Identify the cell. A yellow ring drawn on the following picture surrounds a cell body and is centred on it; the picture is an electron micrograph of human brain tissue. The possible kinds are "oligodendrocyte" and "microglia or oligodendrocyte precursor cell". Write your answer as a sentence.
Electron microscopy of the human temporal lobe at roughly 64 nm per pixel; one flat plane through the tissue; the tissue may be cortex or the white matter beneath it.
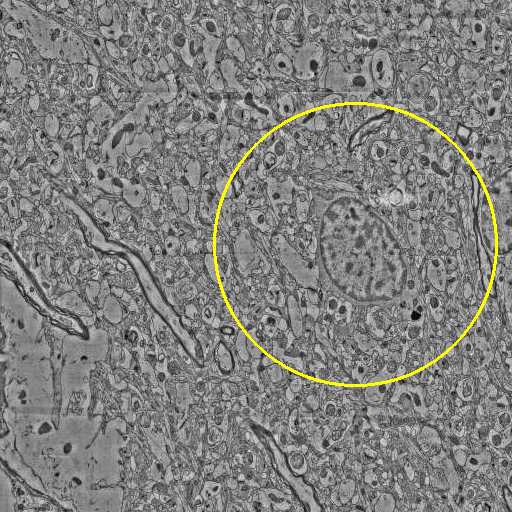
The cell identified by the ring is an oligodendrocyte.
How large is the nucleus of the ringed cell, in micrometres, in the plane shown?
Approximately 7 x 5 micrometres in this plane.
